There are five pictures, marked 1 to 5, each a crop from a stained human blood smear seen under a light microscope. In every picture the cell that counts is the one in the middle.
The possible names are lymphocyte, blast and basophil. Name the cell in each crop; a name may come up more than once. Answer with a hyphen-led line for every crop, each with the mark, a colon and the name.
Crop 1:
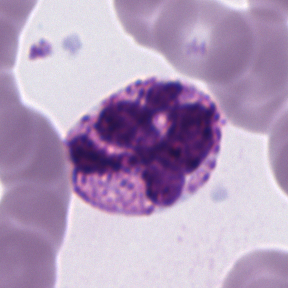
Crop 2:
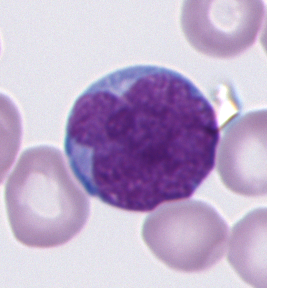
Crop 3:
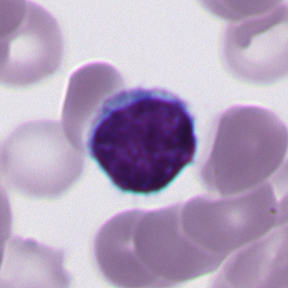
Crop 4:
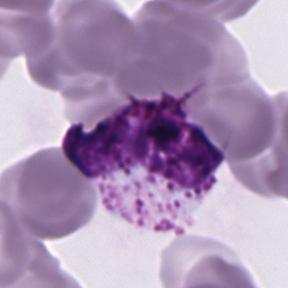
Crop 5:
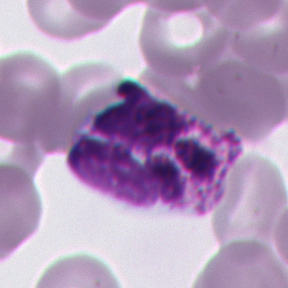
- 1: basophil
- 2: blast
- 3: lymphocyte
- 4: basophil
- 5: basophil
